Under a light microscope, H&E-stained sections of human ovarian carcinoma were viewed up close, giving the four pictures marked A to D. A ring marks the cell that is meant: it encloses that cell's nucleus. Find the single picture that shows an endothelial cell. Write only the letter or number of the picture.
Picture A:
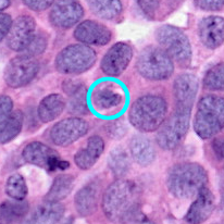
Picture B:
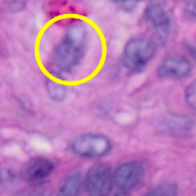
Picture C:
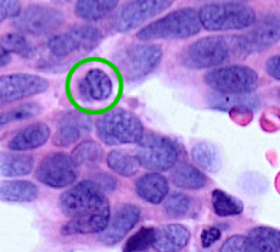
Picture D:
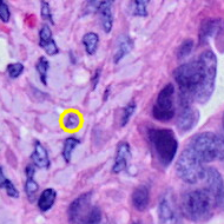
B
